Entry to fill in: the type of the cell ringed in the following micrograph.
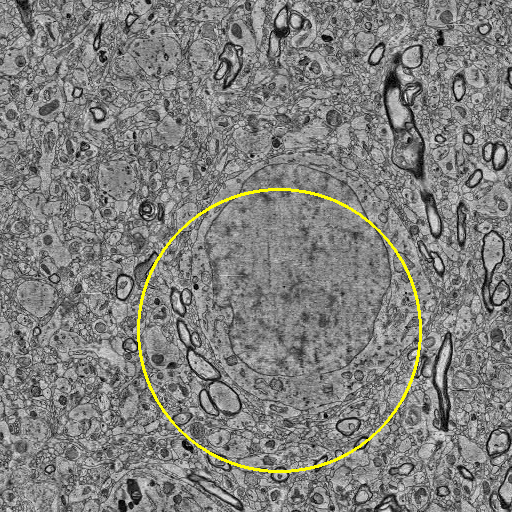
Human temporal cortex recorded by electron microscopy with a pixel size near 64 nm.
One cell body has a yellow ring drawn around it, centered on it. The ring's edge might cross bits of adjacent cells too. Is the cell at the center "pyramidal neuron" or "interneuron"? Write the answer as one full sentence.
This entry names a pyramidal neuron as the cell whose body lies at the ring's center.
